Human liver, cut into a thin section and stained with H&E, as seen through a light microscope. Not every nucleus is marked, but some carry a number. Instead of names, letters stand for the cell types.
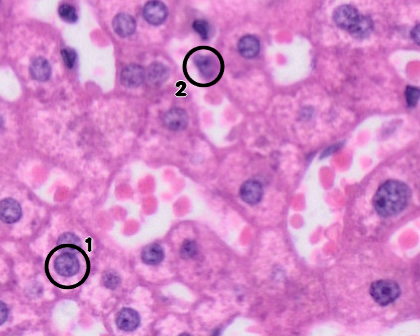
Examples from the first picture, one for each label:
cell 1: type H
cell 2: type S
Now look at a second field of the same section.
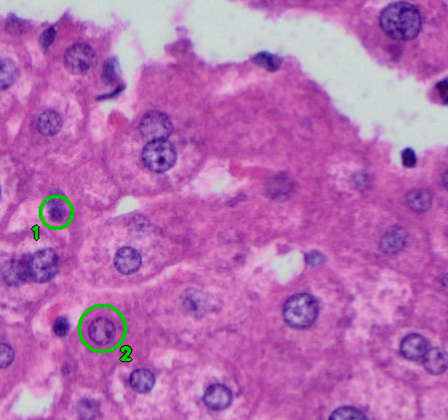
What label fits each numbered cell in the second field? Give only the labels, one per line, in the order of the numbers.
type S
type H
